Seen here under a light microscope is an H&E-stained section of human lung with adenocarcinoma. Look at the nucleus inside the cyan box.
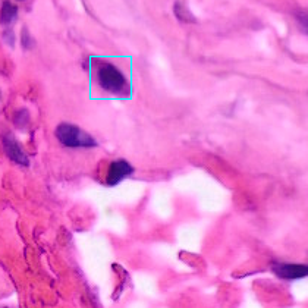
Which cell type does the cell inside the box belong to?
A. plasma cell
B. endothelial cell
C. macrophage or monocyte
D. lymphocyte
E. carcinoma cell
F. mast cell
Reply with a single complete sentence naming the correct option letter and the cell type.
Settle on option A; the cell inside the box is a plasma cell.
